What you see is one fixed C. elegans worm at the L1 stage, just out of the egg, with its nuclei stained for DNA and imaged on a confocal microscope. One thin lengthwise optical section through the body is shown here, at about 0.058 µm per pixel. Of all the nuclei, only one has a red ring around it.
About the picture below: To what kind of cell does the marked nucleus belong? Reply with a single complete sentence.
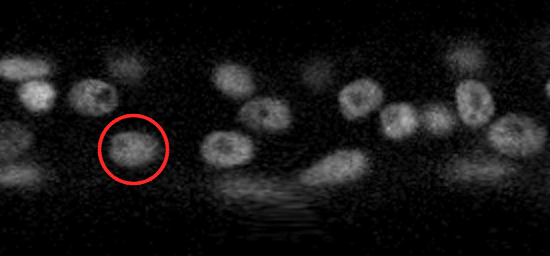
The marked nucleus belongs to a P cell (ventral epidermal blast cell).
